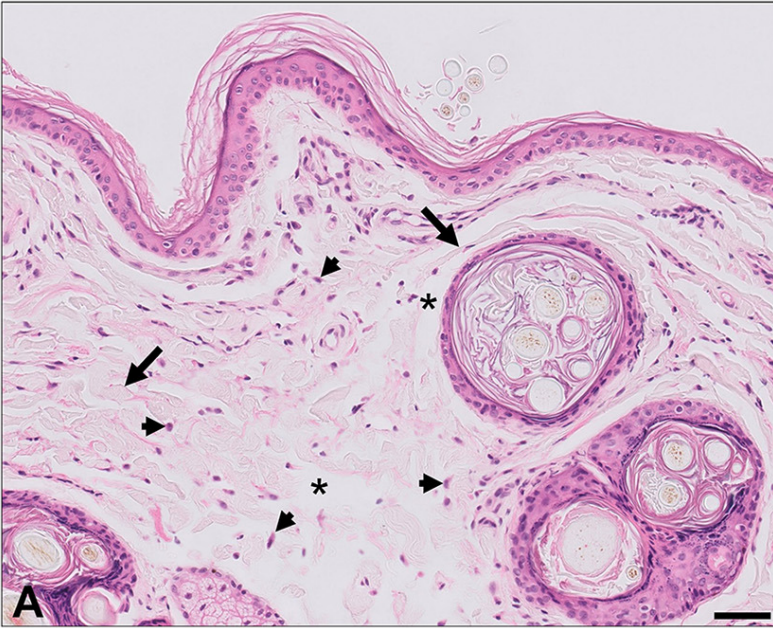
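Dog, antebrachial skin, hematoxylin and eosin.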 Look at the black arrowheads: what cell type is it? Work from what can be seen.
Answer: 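Each arrowhead points to a single spindle-to-oval purple nucleus lying among pale pink fibers in the dermis. These cells are scattered singly in the connective tissue, away from the epidermis and the follicles. On this evidence: plump fibroblasts.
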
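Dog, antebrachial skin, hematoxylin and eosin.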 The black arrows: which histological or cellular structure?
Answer: Abnormal dermal collagen fibers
